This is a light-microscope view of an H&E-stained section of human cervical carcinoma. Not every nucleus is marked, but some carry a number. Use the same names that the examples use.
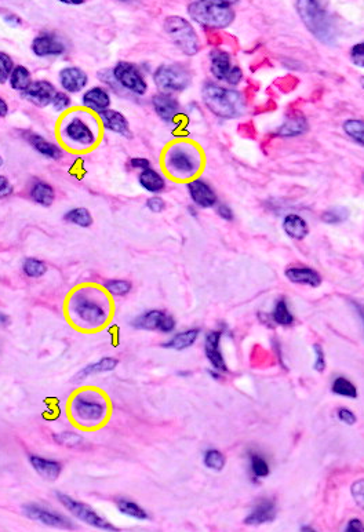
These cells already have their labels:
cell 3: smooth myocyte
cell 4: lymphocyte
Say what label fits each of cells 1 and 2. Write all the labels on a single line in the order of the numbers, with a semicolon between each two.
smooth myocyte; lymphocyte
